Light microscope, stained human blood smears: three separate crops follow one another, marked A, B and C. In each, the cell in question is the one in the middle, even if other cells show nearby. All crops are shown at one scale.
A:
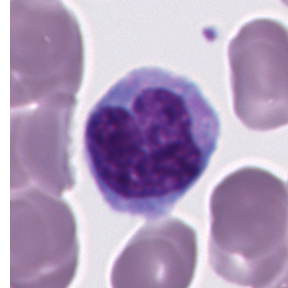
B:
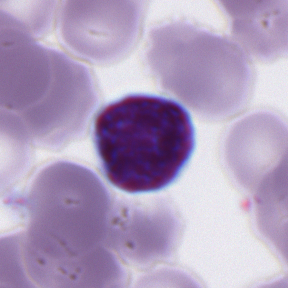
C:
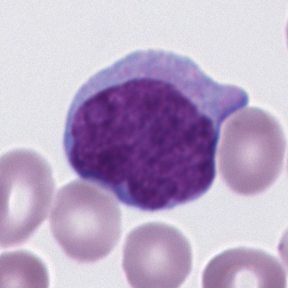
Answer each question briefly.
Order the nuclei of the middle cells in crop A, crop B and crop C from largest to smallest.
C, A, B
